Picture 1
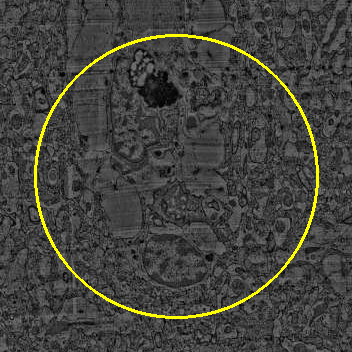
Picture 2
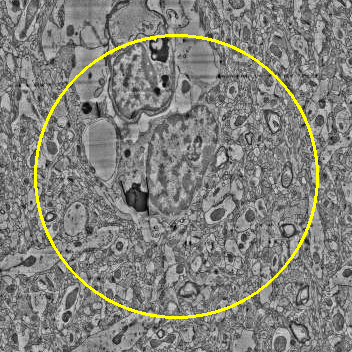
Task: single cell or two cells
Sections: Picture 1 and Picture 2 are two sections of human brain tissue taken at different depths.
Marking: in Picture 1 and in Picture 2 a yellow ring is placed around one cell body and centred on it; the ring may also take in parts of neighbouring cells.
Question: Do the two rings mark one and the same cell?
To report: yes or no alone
yes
